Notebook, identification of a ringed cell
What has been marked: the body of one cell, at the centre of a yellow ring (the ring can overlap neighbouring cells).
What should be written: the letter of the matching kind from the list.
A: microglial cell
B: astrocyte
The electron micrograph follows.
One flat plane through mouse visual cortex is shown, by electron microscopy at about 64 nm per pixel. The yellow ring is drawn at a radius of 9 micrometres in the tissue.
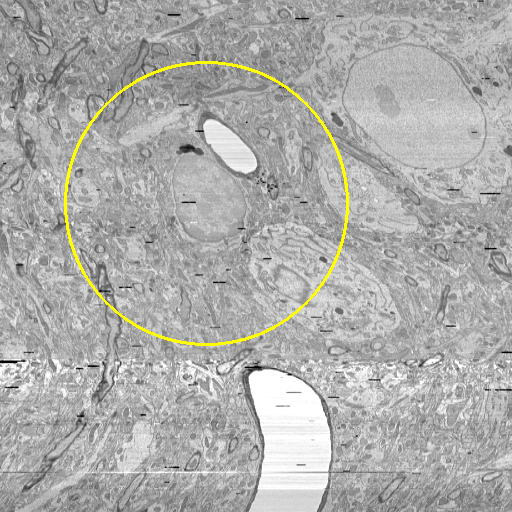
A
